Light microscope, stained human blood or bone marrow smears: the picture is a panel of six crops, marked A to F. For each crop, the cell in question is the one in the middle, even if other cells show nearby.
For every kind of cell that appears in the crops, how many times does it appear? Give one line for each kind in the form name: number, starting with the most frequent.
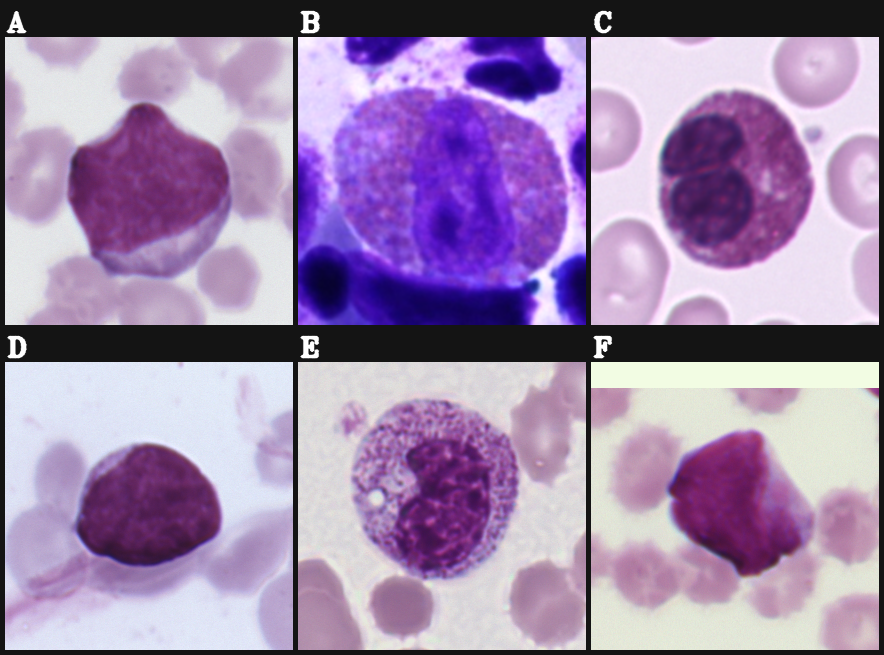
blast: 3
eosinophil: 2
metamyelocyte: 1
